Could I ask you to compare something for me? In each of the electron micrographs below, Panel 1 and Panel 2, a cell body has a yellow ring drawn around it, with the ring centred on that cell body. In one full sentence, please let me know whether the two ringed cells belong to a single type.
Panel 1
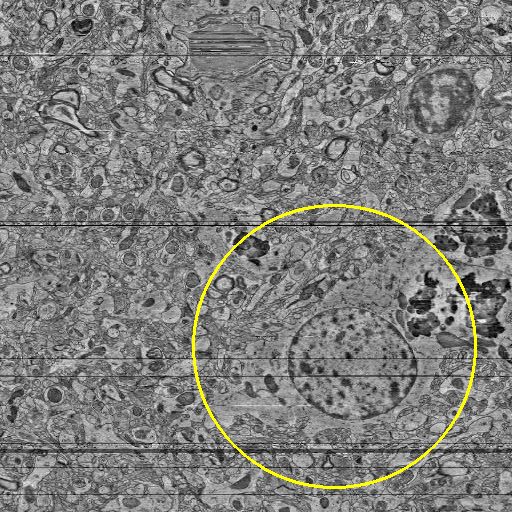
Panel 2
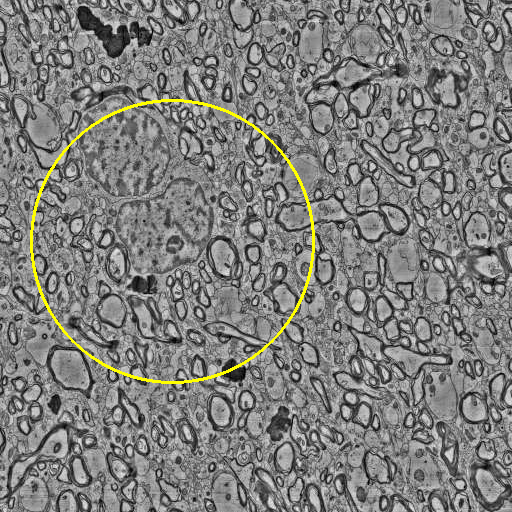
No, the two cells at the centres of the rings are of two types.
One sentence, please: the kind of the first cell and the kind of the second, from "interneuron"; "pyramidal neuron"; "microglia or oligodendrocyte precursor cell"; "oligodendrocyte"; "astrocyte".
The ring in the first picture surrounds an astrocyte, and the ring in the second surrounds an oligodendrocyte.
